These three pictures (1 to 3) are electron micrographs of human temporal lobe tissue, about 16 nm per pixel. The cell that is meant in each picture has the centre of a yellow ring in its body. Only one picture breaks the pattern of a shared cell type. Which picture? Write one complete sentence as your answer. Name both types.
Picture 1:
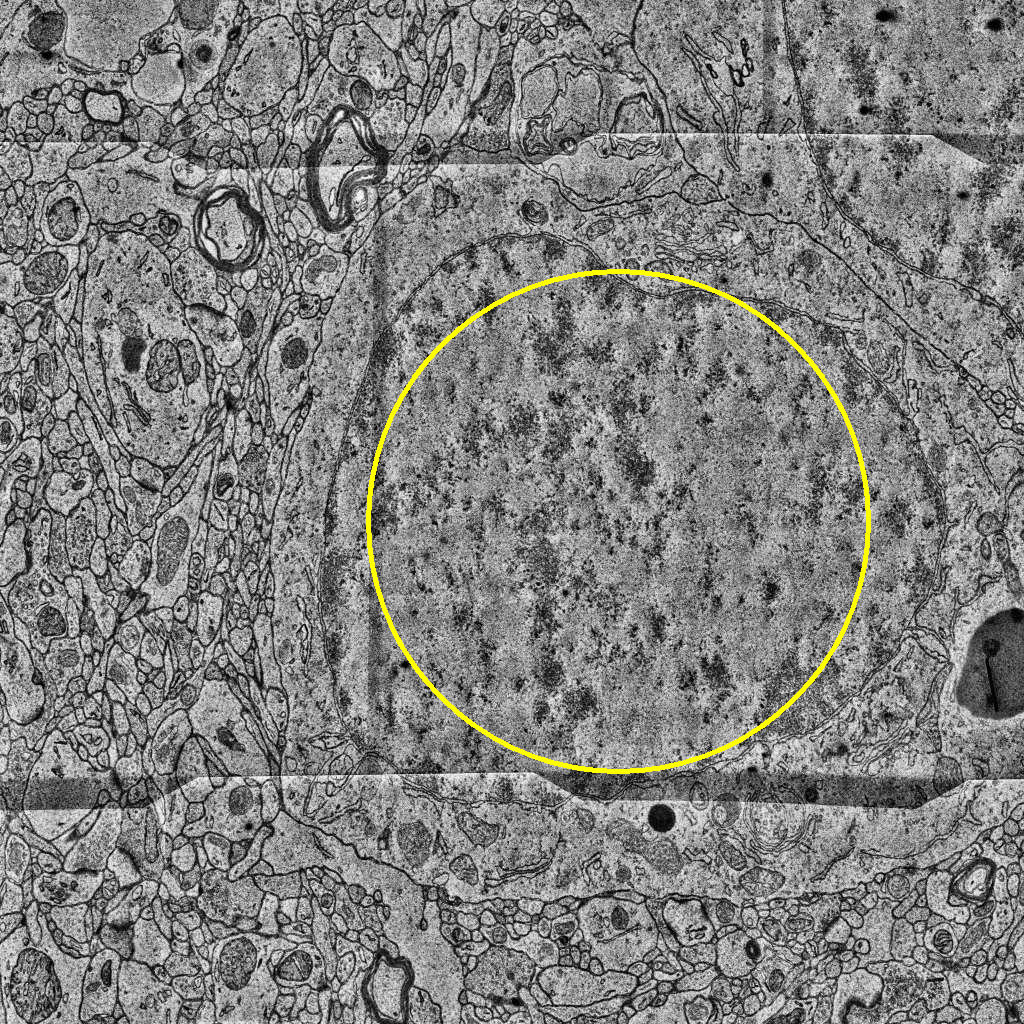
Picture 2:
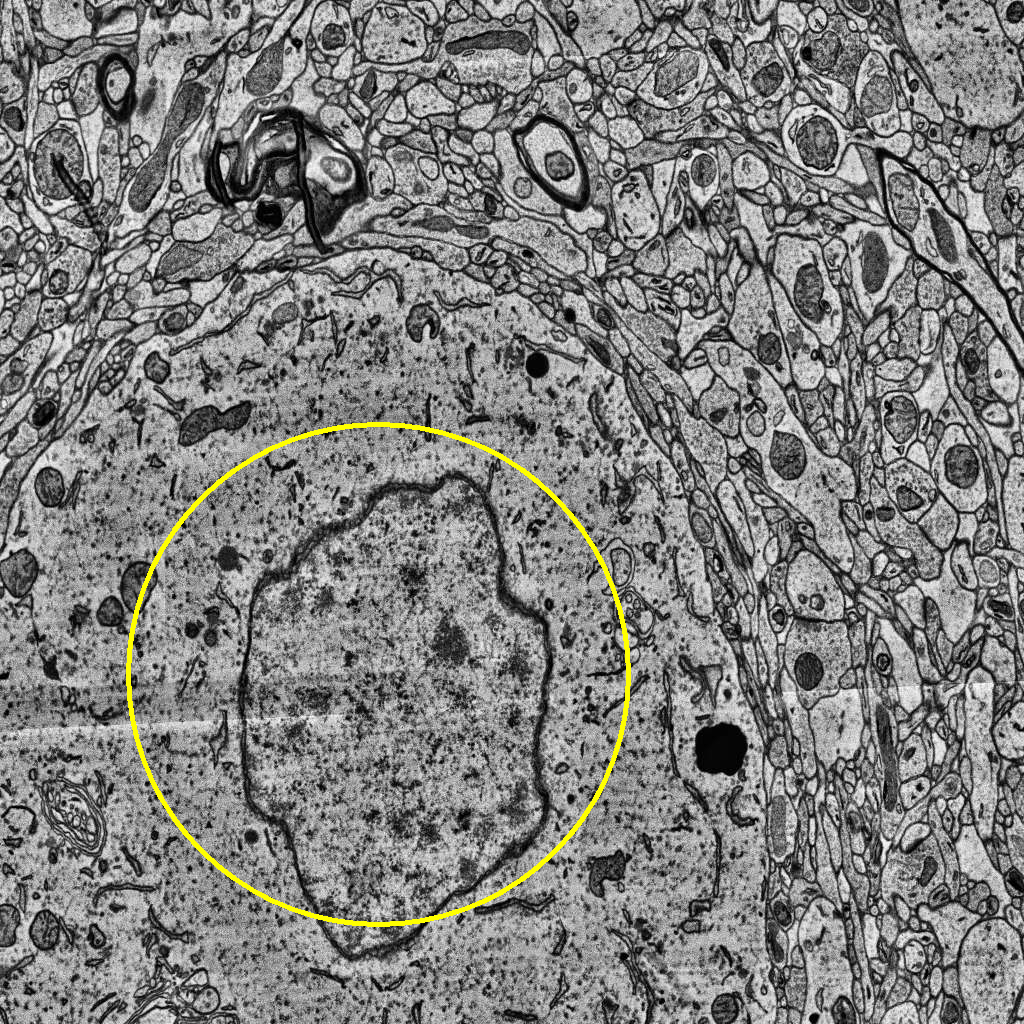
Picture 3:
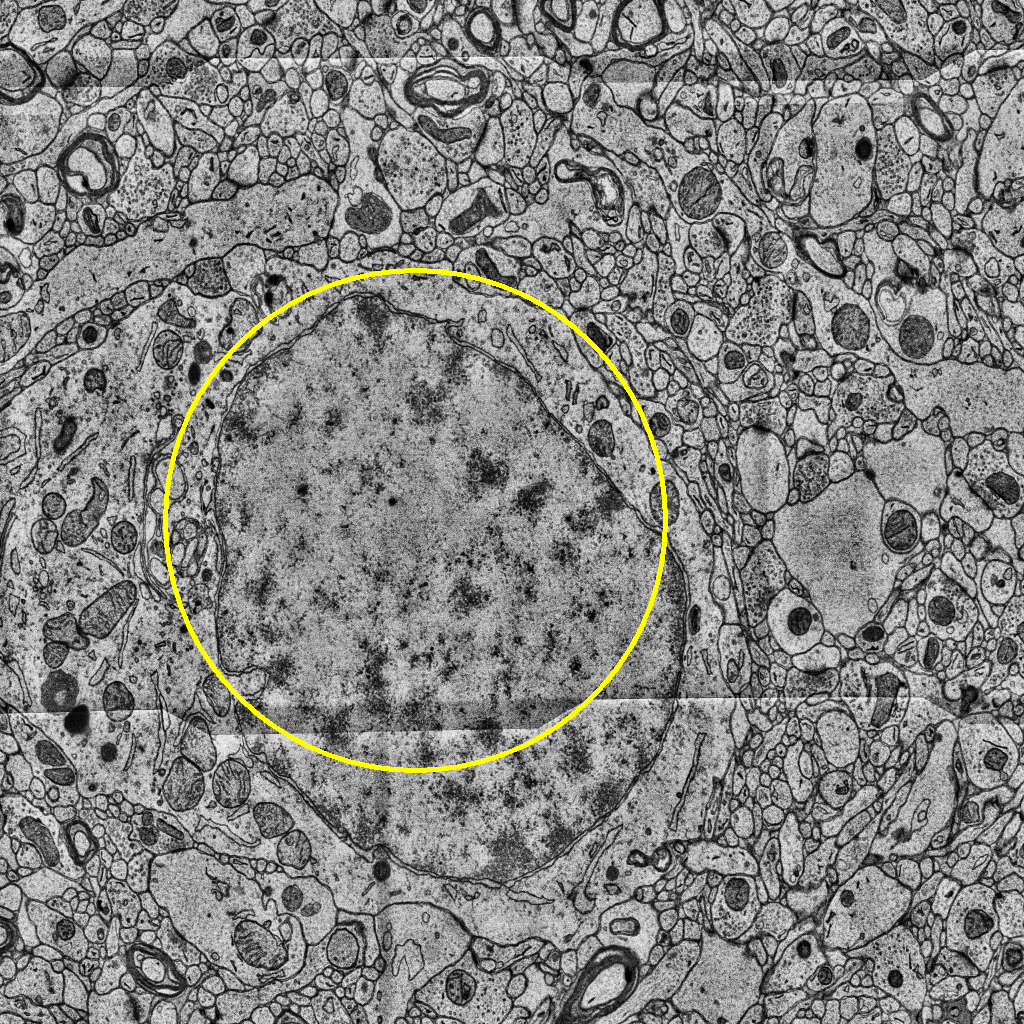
All pictures except 2 show interneurons; picture 2 shows a pyramidal neuron.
